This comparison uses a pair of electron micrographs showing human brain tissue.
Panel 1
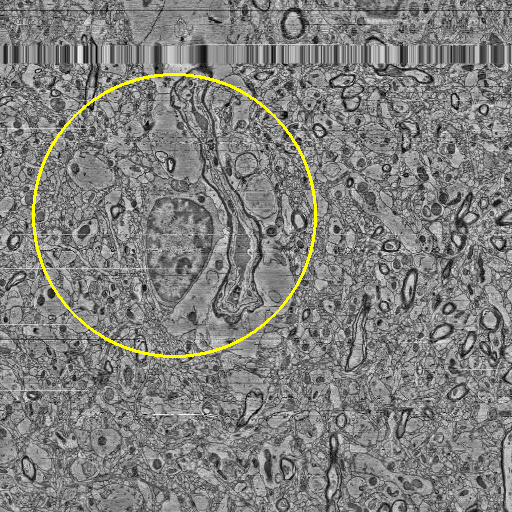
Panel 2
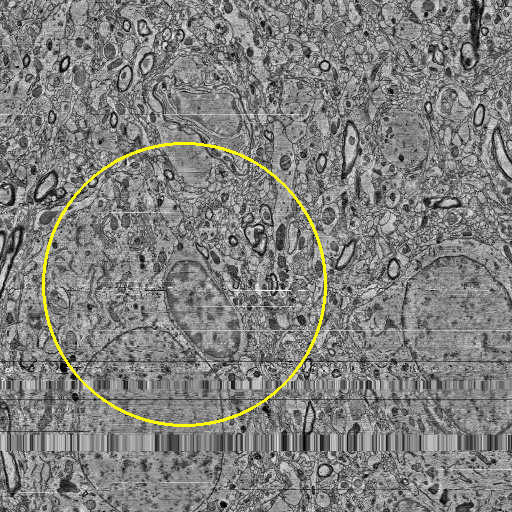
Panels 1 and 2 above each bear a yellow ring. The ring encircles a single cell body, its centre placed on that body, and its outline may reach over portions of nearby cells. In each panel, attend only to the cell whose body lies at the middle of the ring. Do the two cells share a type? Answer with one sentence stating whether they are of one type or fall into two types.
In Panel 1 and Panel 2, the cells at the centres of the rings are of one type.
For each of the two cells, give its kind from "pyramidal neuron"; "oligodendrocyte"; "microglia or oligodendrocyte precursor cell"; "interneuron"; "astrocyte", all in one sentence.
The ring centre holds an oligodendrocyte in each of the two pictures.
